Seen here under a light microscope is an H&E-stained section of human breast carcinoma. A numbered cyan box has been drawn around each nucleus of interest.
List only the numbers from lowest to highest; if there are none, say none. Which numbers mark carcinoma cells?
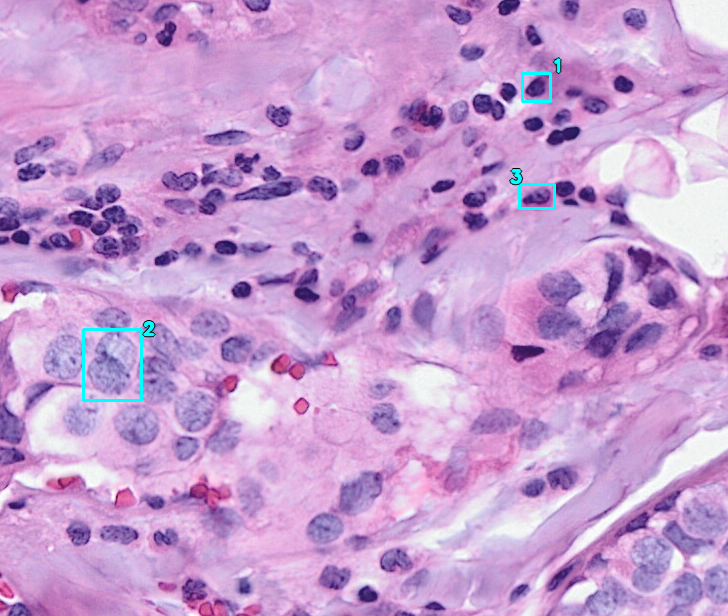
2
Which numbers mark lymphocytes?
1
